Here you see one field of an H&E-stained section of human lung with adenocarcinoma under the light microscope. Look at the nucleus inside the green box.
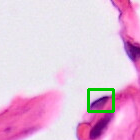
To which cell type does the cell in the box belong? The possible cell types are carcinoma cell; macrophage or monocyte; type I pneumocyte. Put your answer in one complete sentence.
The cell in the box appears to be a type I pneumocyte.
